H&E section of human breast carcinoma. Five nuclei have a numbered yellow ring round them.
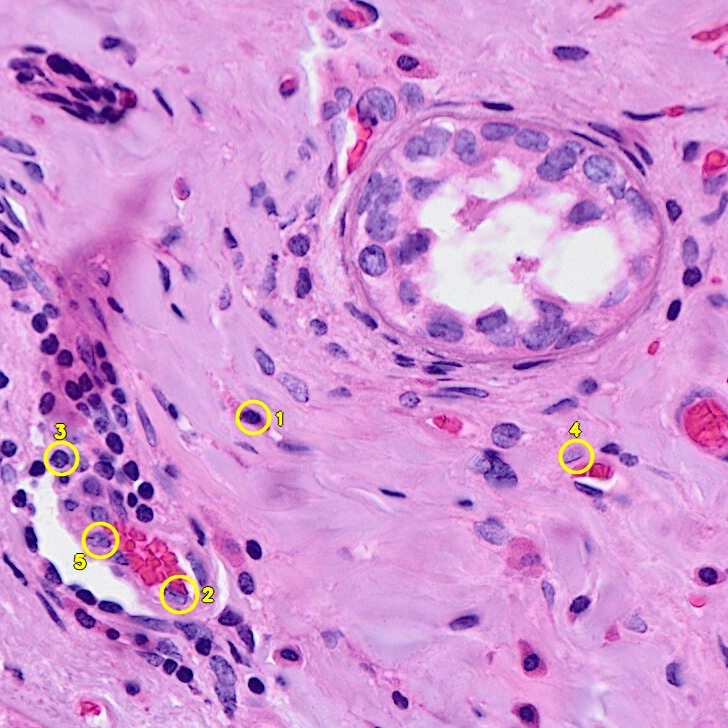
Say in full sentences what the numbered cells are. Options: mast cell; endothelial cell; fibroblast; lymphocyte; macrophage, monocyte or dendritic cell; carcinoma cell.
Cell 1 is a mast cell. Cells 2, 4 and 5 are endothelial cells. Cell 3 is a lymphocyte.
